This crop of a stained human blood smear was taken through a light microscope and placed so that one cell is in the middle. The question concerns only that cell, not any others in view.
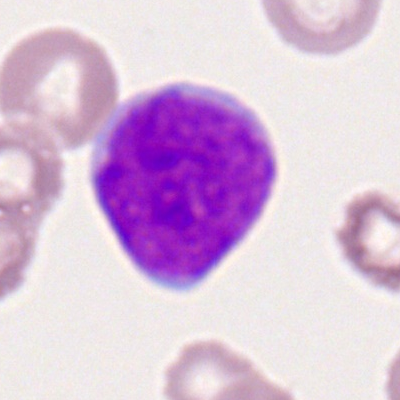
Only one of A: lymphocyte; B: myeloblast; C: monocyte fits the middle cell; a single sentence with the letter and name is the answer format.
The correct option is B, as the central cell is a myeloblast.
